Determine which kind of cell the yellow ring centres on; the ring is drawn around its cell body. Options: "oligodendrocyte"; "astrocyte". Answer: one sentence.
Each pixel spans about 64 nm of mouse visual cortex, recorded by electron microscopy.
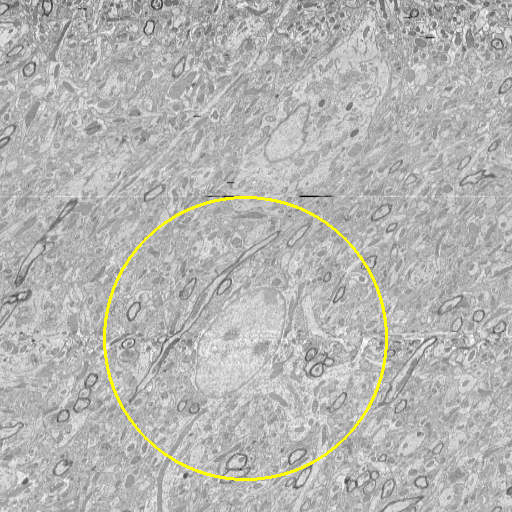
The ring centres on an astrocyte.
